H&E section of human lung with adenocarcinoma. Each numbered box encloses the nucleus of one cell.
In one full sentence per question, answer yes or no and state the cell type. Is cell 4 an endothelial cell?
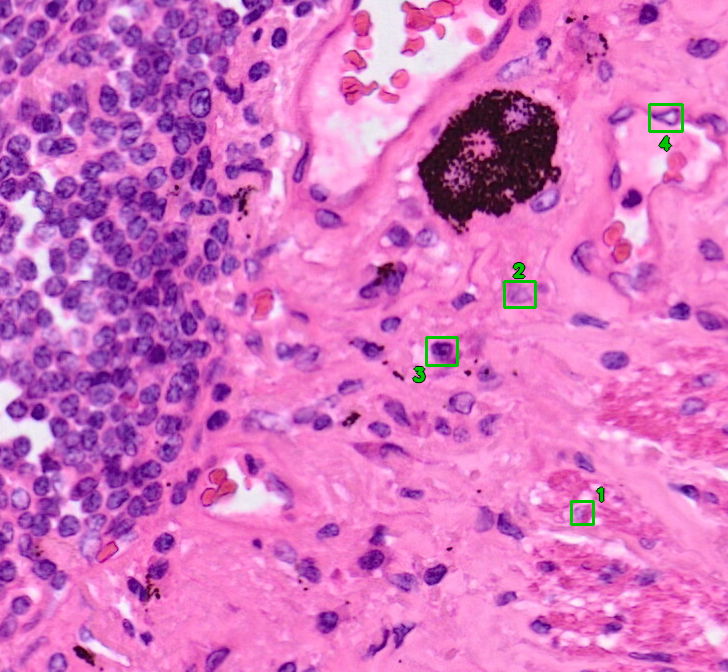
Yes, the cell distinguished by number 4 is an endothelial cell.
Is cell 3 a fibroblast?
No, the cell given the number 3 is a plasma cell, so not a fibroblast.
